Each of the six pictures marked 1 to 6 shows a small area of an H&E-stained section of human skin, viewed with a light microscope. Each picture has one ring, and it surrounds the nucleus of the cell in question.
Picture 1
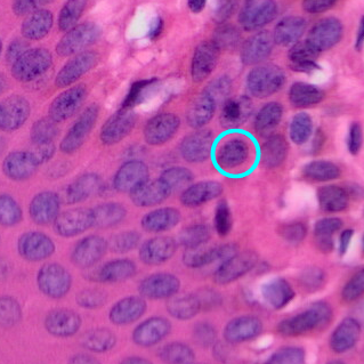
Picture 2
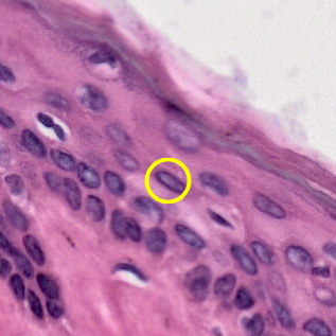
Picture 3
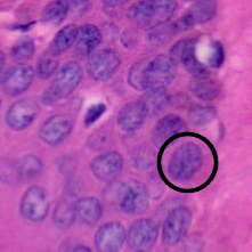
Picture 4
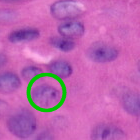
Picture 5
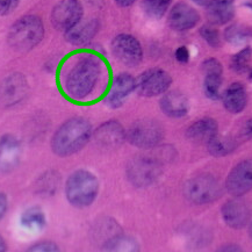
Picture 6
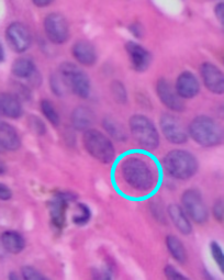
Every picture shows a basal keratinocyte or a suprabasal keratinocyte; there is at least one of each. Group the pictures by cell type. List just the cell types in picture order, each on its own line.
basal keratinocyte
suprabasal keratinocyte
basal keratinocyte
suprabasal keratinocyte
suprabasal keratinocyte
basal keratinocyte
